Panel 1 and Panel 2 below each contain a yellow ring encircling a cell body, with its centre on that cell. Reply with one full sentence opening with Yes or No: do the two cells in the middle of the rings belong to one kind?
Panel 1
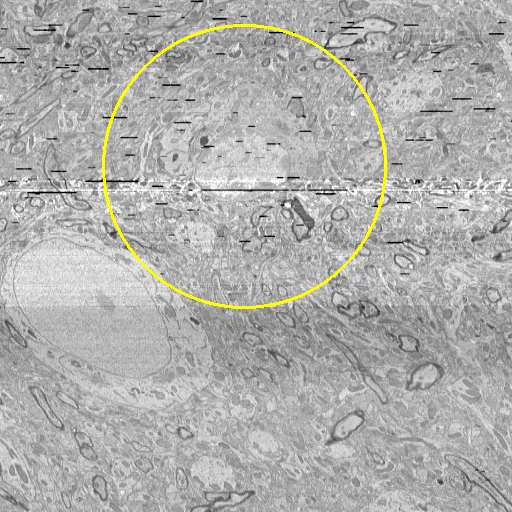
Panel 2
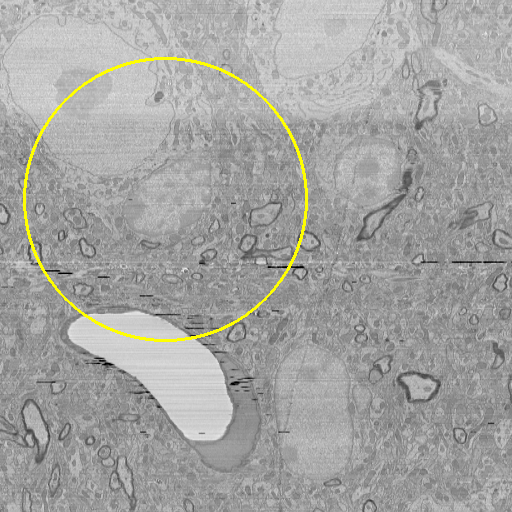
Yes, the cells at the middle of the Panel 1 ring and the Panel 2 ring are of one kind.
